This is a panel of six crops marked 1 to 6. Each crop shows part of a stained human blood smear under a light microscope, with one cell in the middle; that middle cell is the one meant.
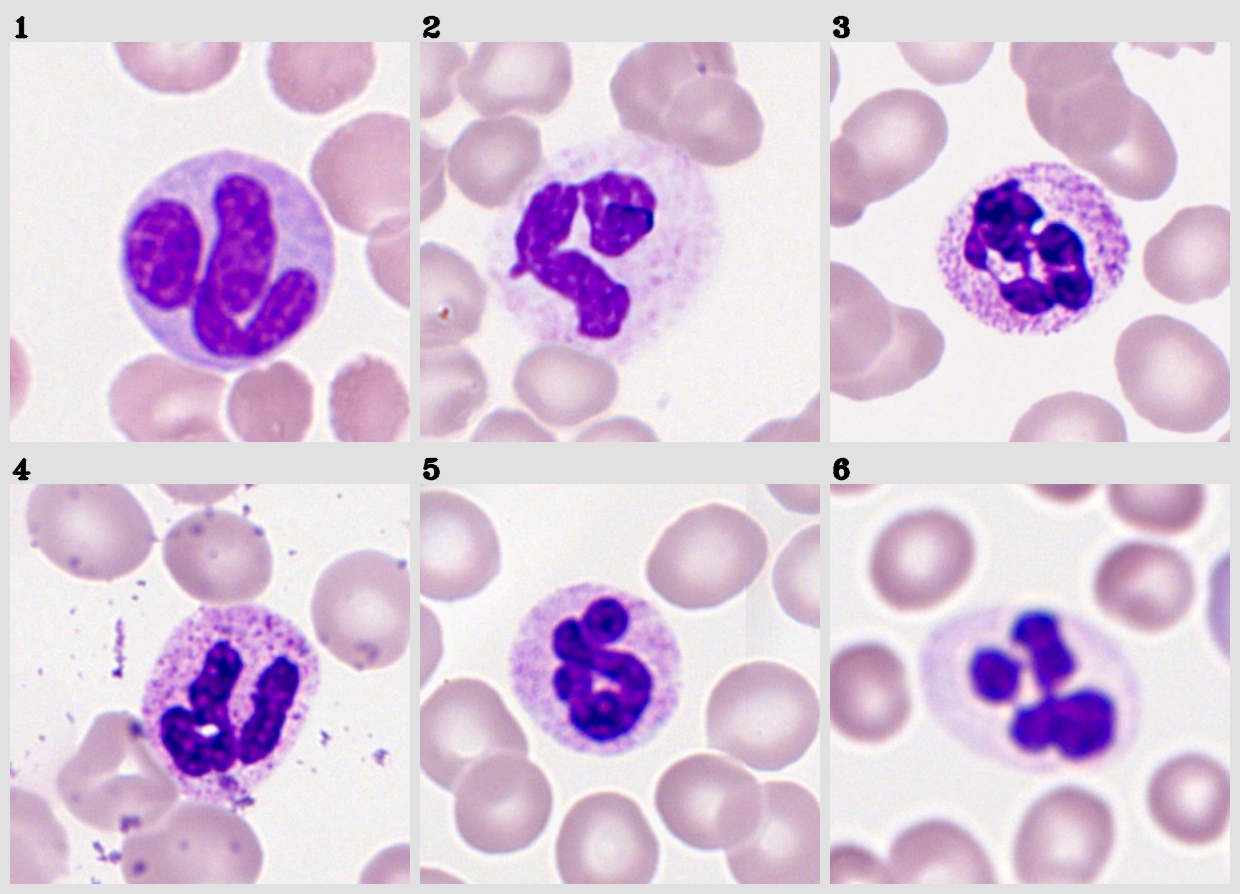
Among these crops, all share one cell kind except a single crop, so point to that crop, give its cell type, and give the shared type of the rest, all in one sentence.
The one crop not showing neutrophils is crop 1, which shows a monocyte.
